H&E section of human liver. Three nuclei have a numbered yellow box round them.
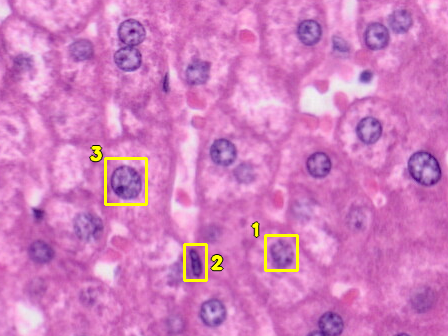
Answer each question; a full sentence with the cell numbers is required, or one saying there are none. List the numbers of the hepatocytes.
By cell type, the cells numbered 1 and 3 are hepatocytes.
